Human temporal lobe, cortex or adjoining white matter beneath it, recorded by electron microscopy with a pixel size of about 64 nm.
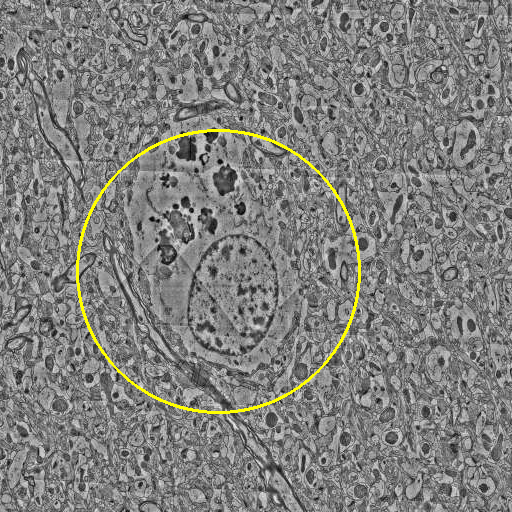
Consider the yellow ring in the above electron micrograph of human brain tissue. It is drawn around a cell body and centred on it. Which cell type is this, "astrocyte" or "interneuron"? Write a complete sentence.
The cell in question is an astrocyte.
